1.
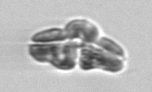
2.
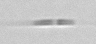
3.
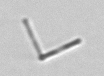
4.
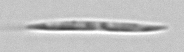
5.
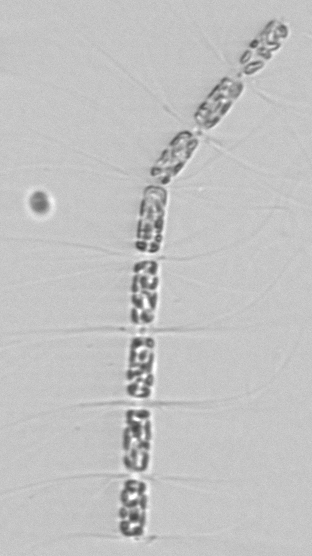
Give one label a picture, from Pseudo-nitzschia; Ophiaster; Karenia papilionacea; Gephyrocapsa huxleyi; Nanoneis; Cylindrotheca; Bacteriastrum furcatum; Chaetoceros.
1. Karenia papilionacea
2. Cylindrotheca
3. Nanoneis
4. Pseudo-nitzschia
5. Bacteriastrum furcatum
